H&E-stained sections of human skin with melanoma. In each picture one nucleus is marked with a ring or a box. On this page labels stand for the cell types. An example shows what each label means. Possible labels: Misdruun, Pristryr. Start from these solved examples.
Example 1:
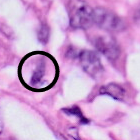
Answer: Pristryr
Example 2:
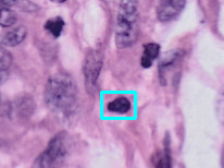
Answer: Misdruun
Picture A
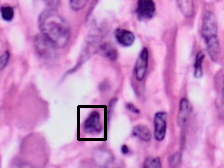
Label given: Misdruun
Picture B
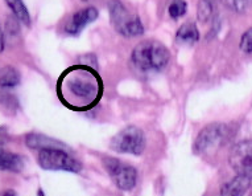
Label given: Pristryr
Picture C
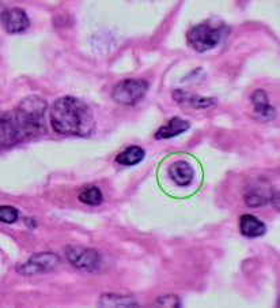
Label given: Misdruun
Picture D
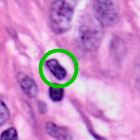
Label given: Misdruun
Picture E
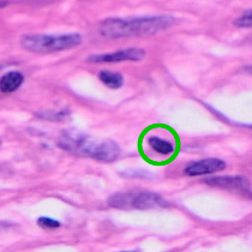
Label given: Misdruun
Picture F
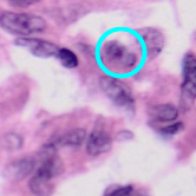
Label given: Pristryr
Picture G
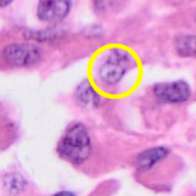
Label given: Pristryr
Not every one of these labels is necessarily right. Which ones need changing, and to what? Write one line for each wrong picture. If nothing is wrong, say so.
None of the labels needs changing.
